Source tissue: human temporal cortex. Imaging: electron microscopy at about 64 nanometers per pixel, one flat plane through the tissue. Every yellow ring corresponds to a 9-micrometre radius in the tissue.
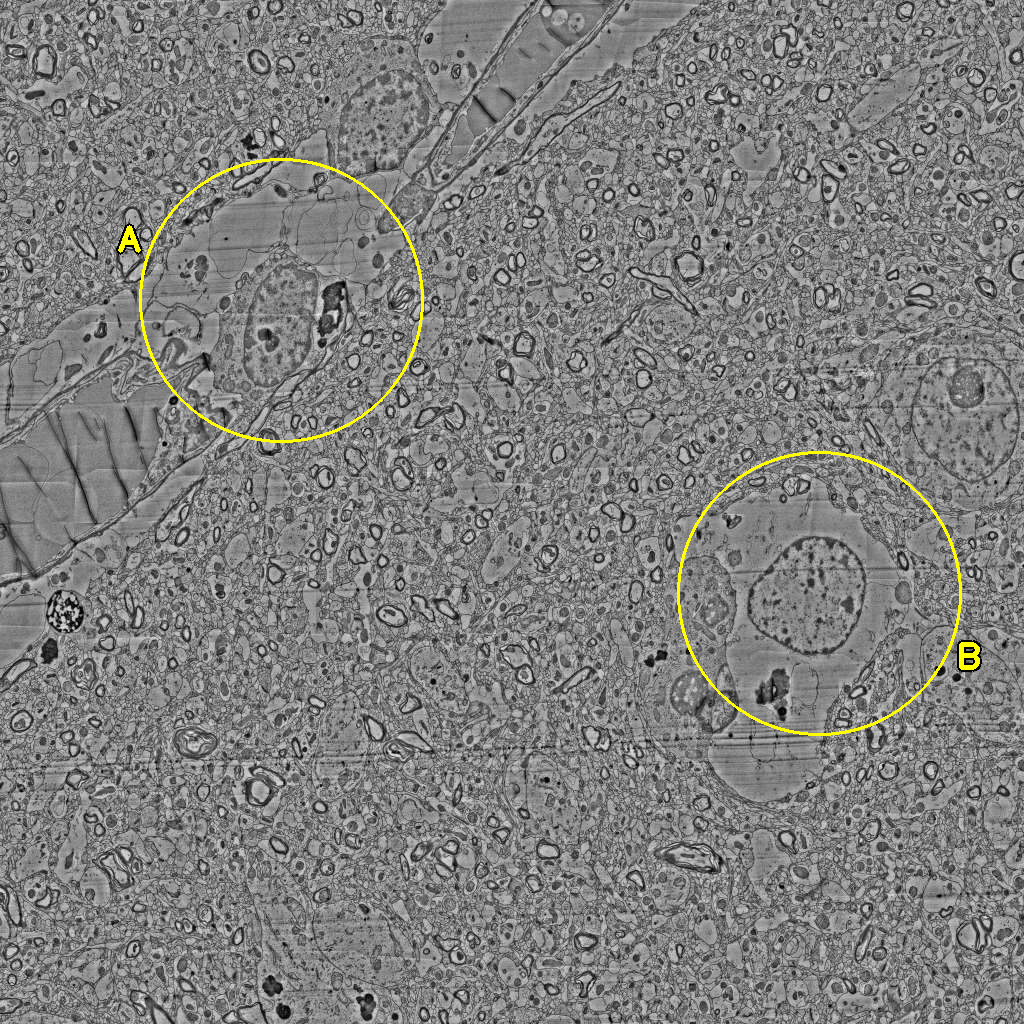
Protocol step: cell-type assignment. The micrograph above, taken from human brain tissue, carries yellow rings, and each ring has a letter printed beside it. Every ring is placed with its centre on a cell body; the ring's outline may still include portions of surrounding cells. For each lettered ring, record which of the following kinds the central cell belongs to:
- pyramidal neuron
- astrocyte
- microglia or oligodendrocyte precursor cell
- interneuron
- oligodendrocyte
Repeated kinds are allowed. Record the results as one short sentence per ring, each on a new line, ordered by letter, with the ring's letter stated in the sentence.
In ring A, the central cell is an oligodendrocyte.
In ring B, the central cell is an astrocyte.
